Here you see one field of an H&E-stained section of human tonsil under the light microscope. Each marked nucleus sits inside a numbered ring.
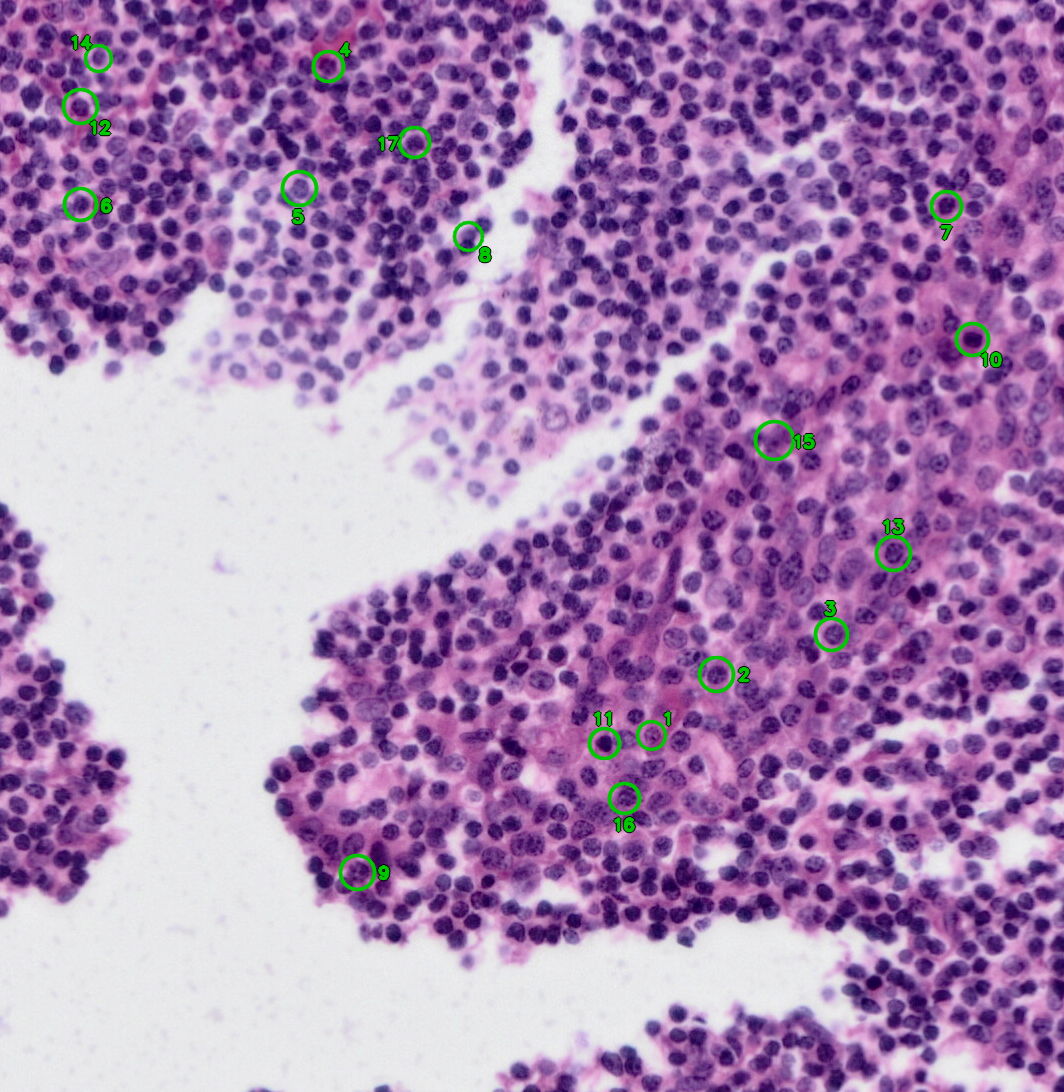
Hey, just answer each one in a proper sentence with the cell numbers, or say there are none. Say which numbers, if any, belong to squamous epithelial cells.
The cell bearing the number 15 is a squamous epithelial cell, unlike the rest of the numbered cells.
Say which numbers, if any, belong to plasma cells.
Cells 1, 2, 3, 7, 9, 10, 11, 13 and 16 in the section are typed as plasma cells.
